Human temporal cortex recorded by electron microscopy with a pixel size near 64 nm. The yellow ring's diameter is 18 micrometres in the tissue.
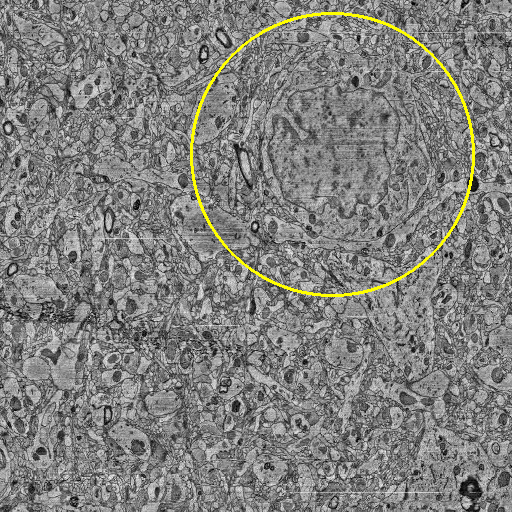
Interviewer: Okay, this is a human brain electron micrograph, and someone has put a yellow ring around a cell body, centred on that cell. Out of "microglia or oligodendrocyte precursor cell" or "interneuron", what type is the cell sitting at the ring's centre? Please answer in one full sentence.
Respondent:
The cell at the centre of the yellow ring in this picture is an interneuron.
